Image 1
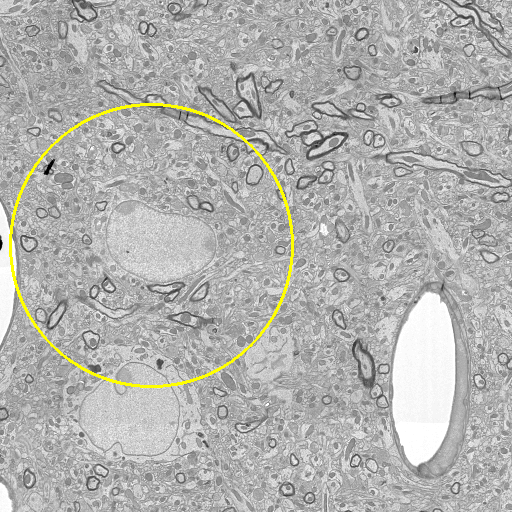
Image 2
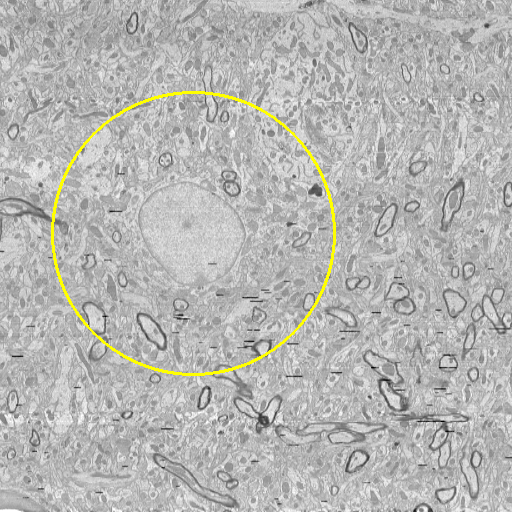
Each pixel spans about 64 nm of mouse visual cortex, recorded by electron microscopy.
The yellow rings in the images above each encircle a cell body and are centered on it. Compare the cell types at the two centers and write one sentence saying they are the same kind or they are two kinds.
Taken together, the two cells at the ring centers are the same kind.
